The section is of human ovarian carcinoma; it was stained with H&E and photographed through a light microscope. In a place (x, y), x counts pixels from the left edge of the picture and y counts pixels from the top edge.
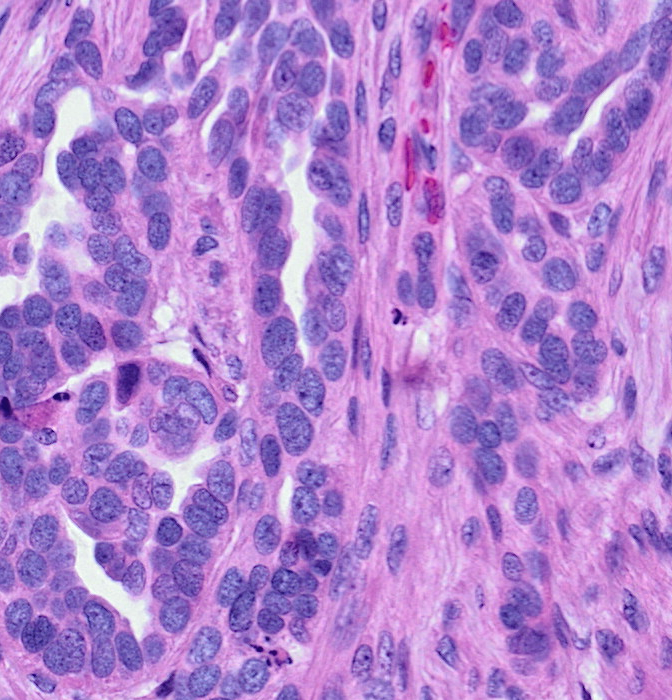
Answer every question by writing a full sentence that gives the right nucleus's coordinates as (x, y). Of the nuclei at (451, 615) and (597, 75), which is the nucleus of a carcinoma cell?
The nucleus at (597, 75) is housed in a carcinoma cell.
